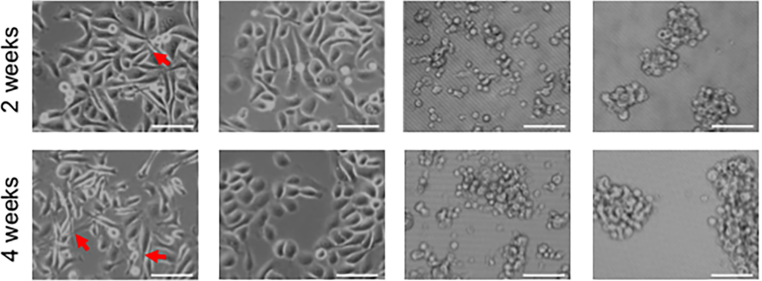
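These are cultured cells seen by phase contrast, shown in a grid of eight fields. In the two left columns the cells lie flat and adherent on the culture surface. In the far left column they vary in shape: some are spindle-shaped with long, thin projections, and others are rounder. In the second column they are more uniformly polygonal and lie packed close together in sheets, touching their neighbours. In the two right columns the cells are small and rounded and gather into clusters rather than spreading out. The clusters in the far right column are larger and more compact than the scattered small groups in the column beside them.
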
